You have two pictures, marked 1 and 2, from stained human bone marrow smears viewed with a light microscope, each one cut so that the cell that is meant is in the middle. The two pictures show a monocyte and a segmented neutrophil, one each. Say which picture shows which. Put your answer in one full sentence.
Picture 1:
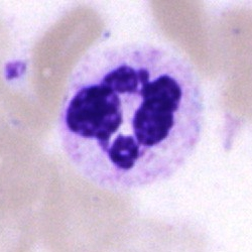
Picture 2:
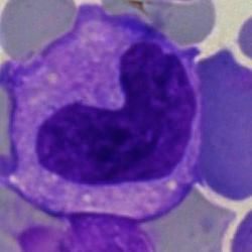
It is picture 1 that shows a segmented neutrophil, and picture 2 that shows a monocyte.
